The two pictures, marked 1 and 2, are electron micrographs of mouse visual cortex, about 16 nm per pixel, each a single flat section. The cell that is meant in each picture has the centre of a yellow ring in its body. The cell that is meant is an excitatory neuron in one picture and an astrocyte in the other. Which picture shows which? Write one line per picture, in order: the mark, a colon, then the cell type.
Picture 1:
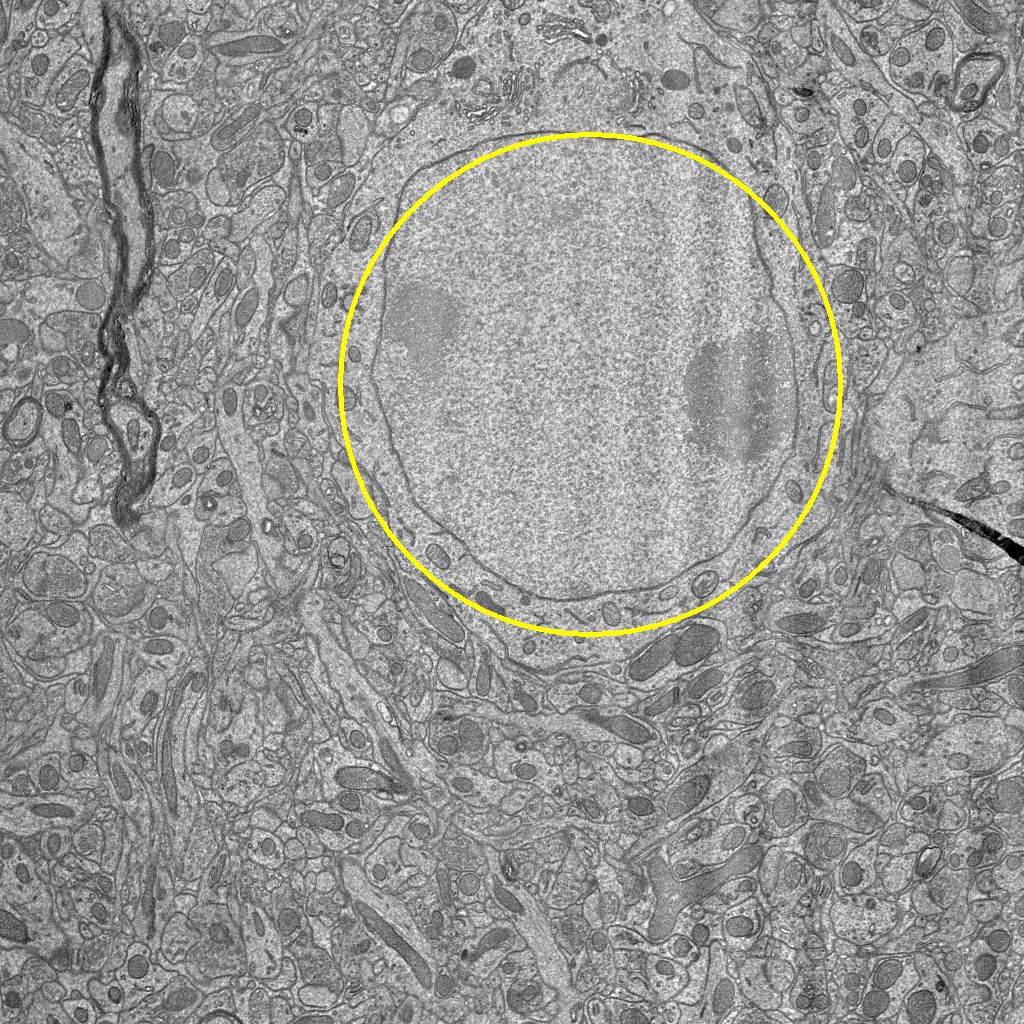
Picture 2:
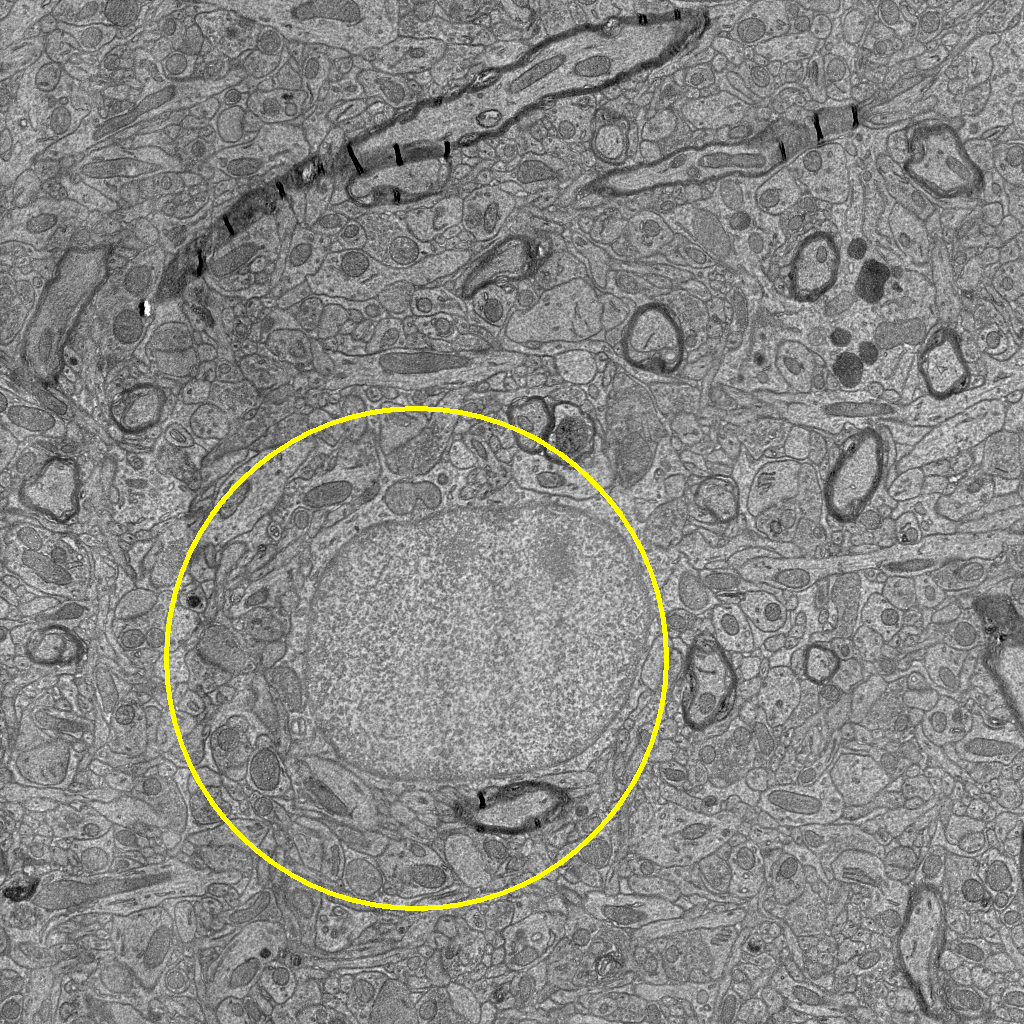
1: excitatory neuron
2: astrocyte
